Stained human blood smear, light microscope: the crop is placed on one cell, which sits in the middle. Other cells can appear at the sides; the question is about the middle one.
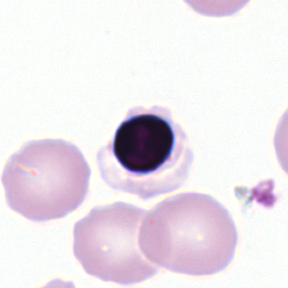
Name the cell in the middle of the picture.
normoblast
